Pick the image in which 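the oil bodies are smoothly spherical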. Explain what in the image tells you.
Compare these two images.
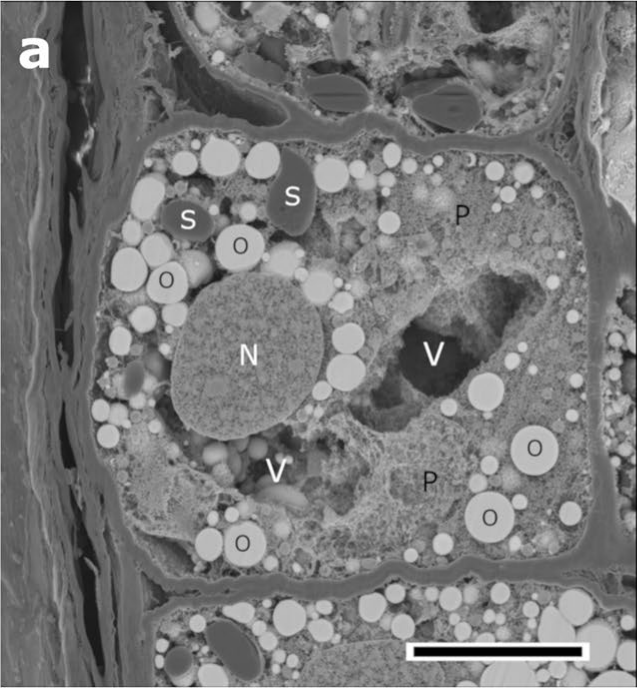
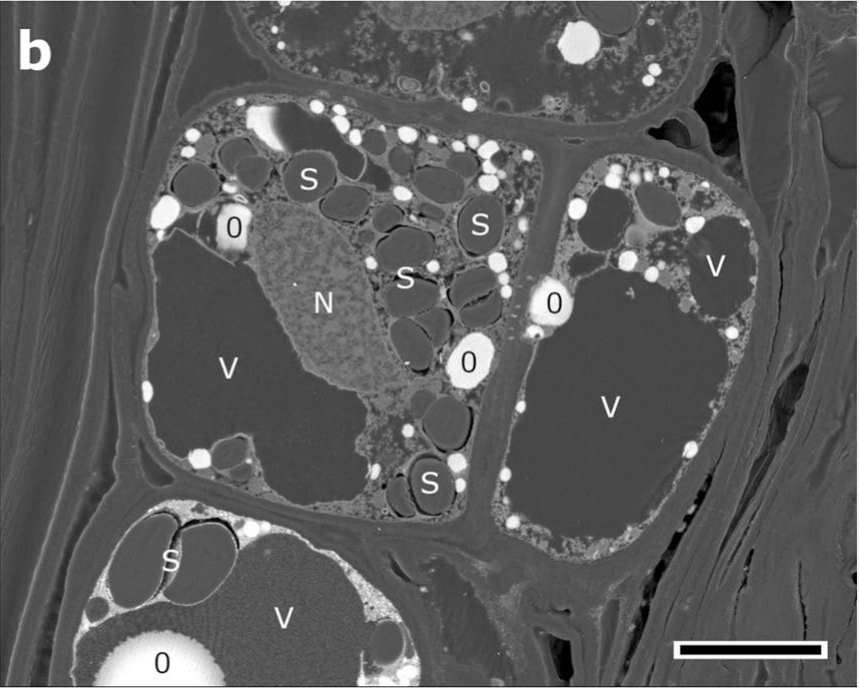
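Second image: the bright oil bodies are small and several have uneven, irregular outlines. First image: many pale, evenly round spheres of various sizes fill the cytoplasm.
Conclusion: the first image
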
